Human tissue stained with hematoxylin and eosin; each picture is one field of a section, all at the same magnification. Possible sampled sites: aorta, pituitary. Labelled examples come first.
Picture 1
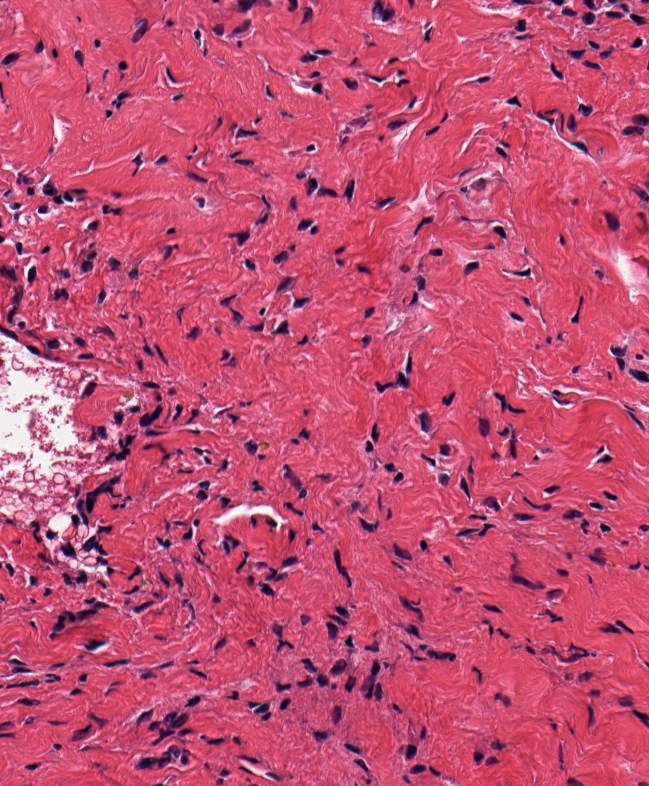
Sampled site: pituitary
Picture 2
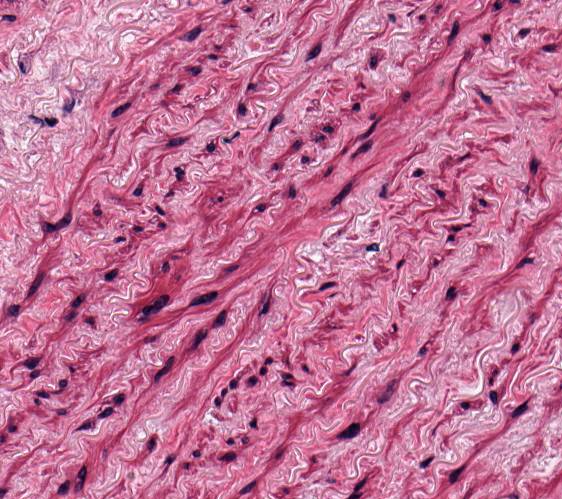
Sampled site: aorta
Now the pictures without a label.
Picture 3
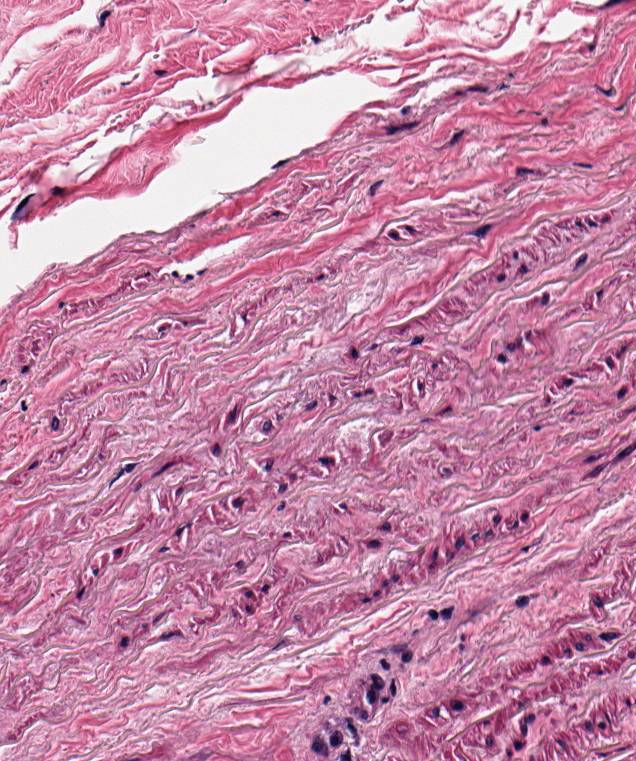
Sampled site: aorta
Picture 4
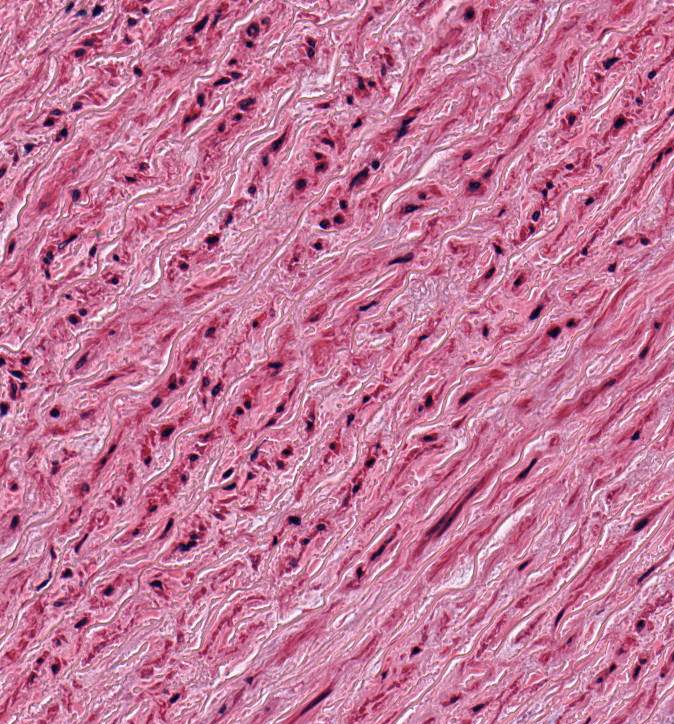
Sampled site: aorta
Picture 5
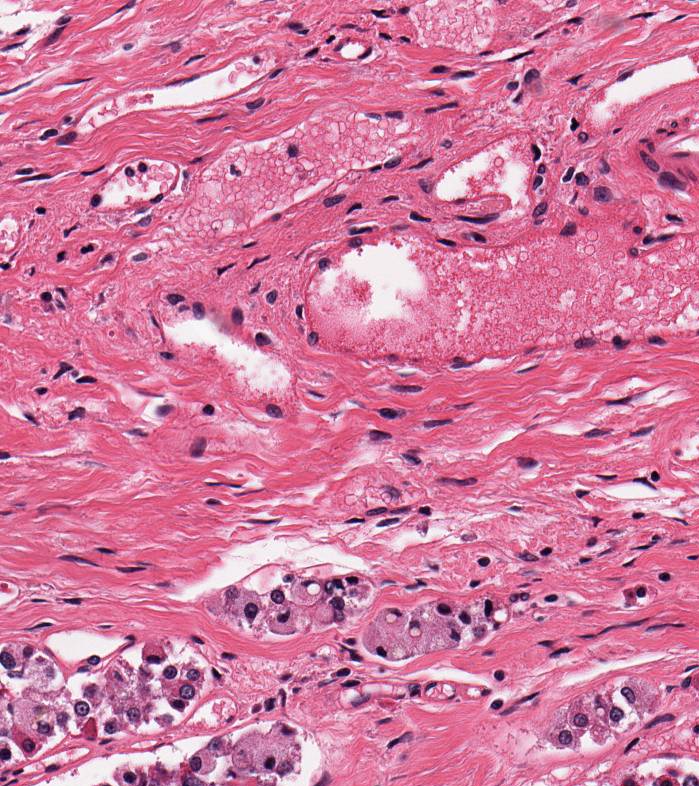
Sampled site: pituitary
